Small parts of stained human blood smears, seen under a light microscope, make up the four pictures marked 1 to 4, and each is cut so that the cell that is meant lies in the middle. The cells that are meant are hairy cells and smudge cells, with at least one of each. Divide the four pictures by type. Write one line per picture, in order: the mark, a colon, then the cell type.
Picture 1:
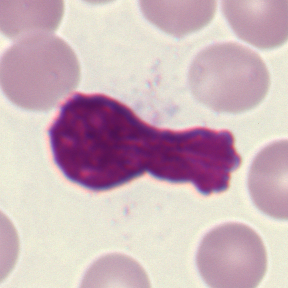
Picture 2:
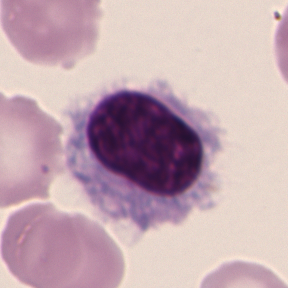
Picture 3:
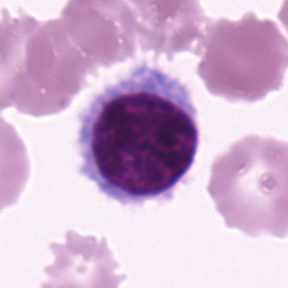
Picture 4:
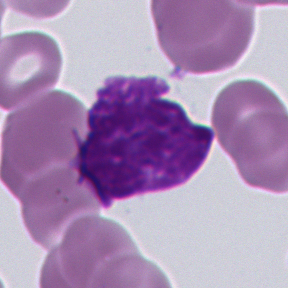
1: smudge cell
2: hairy cell
3: hairy cell
4: smudge cell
